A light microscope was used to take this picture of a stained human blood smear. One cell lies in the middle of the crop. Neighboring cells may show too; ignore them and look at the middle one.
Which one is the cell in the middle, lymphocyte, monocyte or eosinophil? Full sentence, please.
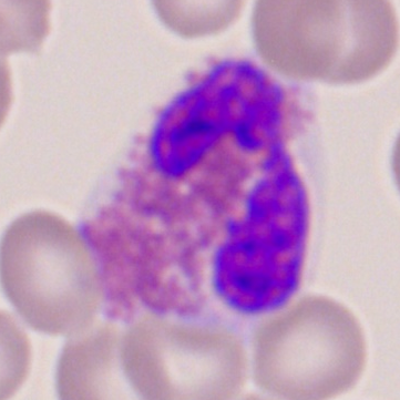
Looking at the middle of the crop, the cell there is an eosinophil.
